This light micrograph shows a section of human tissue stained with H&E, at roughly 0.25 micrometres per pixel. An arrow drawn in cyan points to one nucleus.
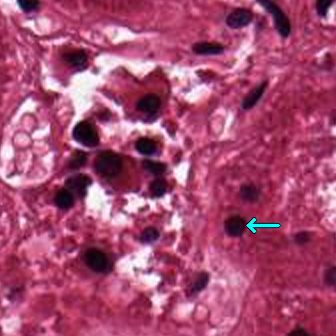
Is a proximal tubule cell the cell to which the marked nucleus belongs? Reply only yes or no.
yes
